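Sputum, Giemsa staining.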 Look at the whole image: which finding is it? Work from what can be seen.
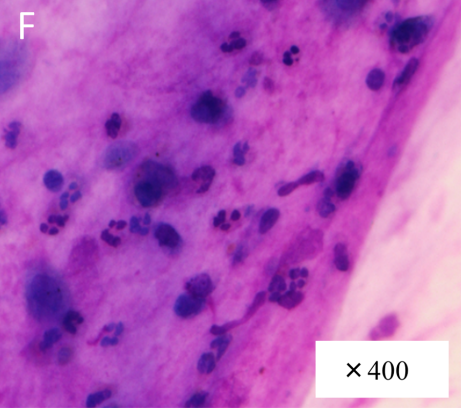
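Many cells have nuclei split into several small, dark purple lobes. These lobed cells lie scattered in a pink-purple mucus background. The answer: neutrophilia.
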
